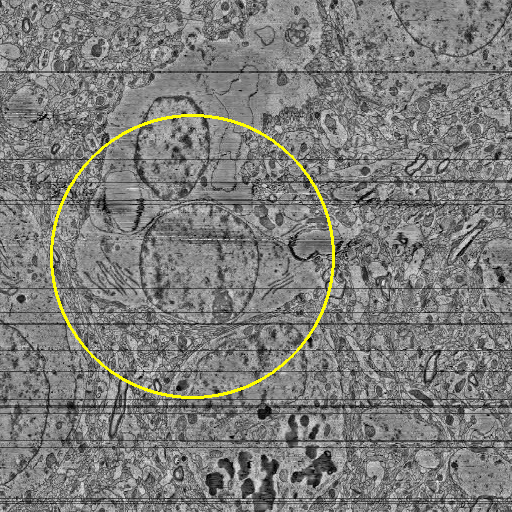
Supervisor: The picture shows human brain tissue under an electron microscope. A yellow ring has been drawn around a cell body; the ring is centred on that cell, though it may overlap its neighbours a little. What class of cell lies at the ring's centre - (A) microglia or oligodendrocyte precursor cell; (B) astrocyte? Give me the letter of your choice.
B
